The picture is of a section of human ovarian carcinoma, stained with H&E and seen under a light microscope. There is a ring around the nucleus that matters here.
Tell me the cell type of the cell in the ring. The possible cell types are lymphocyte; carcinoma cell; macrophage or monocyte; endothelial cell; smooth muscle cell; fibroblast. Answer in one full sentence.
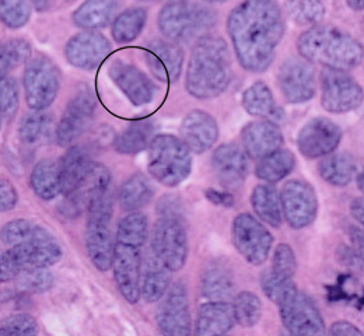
In the tissue under study, the cell in the ring is a carcinoma cell.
